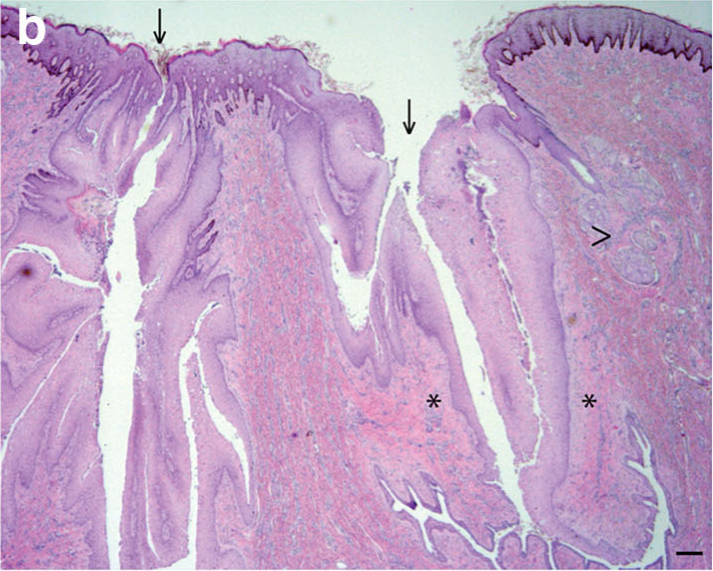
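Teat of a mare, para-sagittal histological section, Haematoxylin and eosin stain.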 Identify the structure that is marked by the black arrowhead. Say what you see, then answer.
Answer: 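Sebaceous gland. The arrowhead points to a rounded, lobulated cluster of pale cells in the connective tissue. The cluster lies near the surface epithelium on the right.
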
